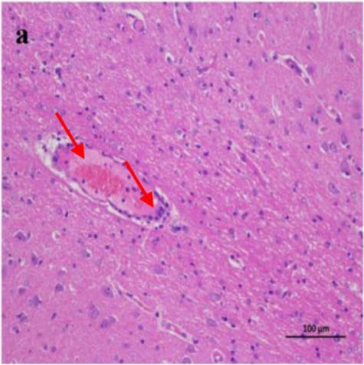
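This is brain tissue with scattered nerve and glial cell nuclei lying in a pale pink, finely fibrous neuropil. Near the left edge a blood vessel is cut lengthwise and its lumen is packed with red-pink blood cells. Around the vessel wall small, round, darkly staining nuclei gather in a cuff, the picture of a perivascular lymphocyte infiltrate. The surrounding neurons and glia appear as purple nuclei, some with clear halos around them. Other thin capillaries run through the field without such cuffs.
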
